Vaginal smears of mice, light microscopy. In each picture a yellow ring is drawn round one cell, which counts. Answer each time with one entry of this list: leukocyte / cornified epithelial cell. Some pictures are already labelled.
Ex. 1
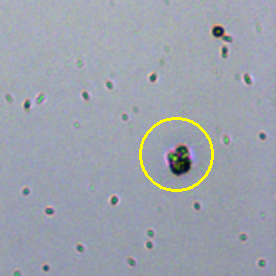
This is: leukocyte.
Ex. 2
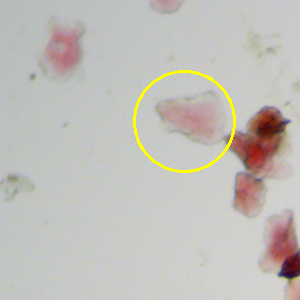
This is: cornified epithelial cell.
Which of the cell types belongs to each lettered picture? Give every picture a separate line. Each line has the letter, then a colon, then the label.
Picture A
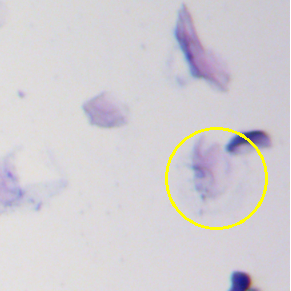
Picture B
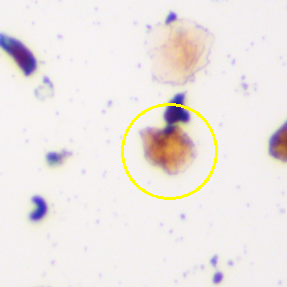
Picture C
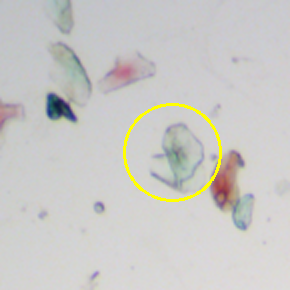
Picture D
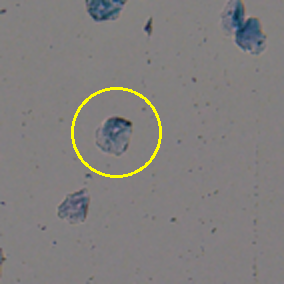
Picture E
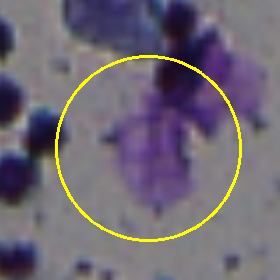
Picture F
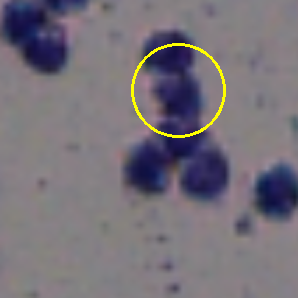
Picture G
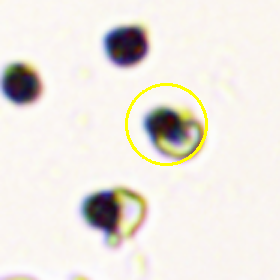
A: cornified epithelial cell.
B: cornified epithelial cell.
C: cornified epithelial cell.
D: cornified epithelial cell.
E: cornified epithelial cell.
F: leukocyte.
G: leukocyte.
